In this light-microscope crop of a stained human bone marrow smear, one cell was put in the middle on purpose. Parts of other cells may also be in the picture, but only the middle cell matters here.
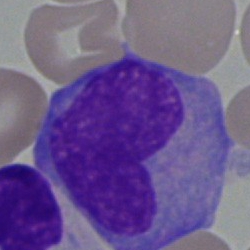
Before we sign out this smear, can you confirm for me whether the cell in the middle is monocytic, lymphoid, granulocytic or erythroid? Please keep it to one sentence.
The lineage to which the central cell belongs is monocytic.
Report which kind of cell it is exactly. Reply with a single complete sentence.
What sits at the centre of this crop is a monocyte.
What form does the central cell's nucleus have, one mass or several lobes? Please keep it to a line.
Its nucleus is compact and single, with a round, oval or kidney-shaped form.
